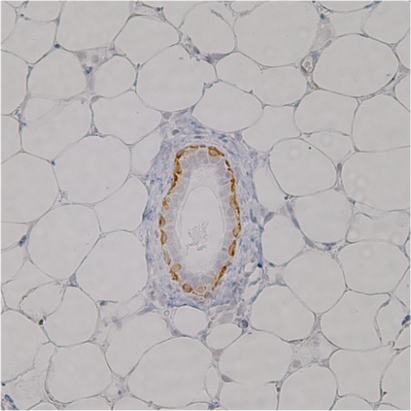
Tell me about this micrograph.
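A single oval mammary duct sits in the middle of fatty tissue, ringed by a brown-stained outer layer of myoepithelial cells. The brown cells are flattened and form a nearly continuous ring at the base of the epithelium. The inner luminal cells have blue nuclei and pale cytoplasm and line a central lumen containing a little pale material. A cuff of loose stroma with scattered small blue nuclei surrounds the duct. Large empty polygonal fat cells with thin membranes fill the rest of the field.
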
